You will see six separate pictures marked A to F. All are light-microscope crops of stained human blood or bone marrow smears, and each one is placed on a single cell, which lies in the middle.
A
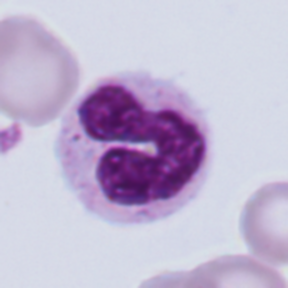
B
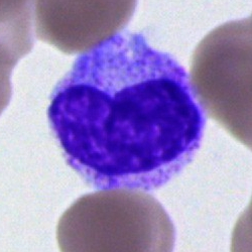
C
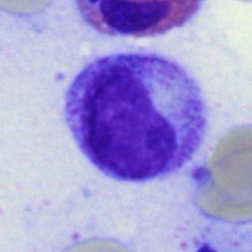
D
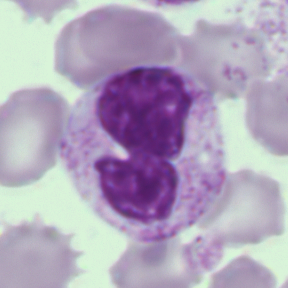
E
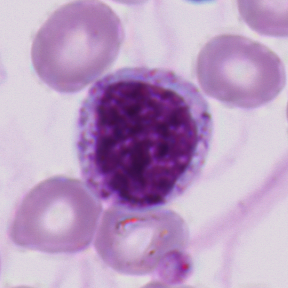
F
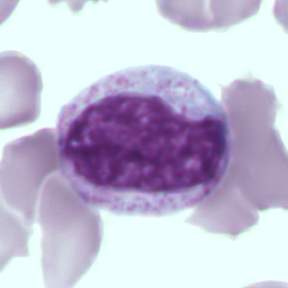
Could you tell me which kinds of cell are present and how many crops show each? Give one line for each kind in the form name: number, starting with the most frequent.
metamyelocyte: 4
band neutrophil: 2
